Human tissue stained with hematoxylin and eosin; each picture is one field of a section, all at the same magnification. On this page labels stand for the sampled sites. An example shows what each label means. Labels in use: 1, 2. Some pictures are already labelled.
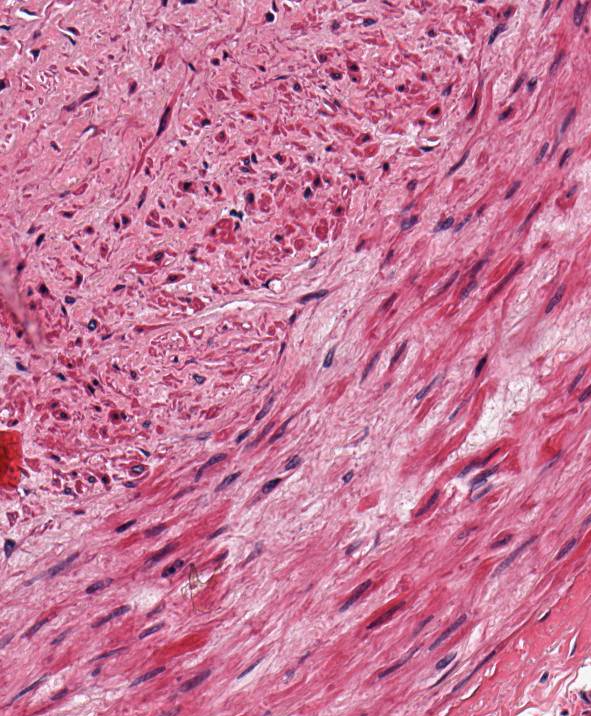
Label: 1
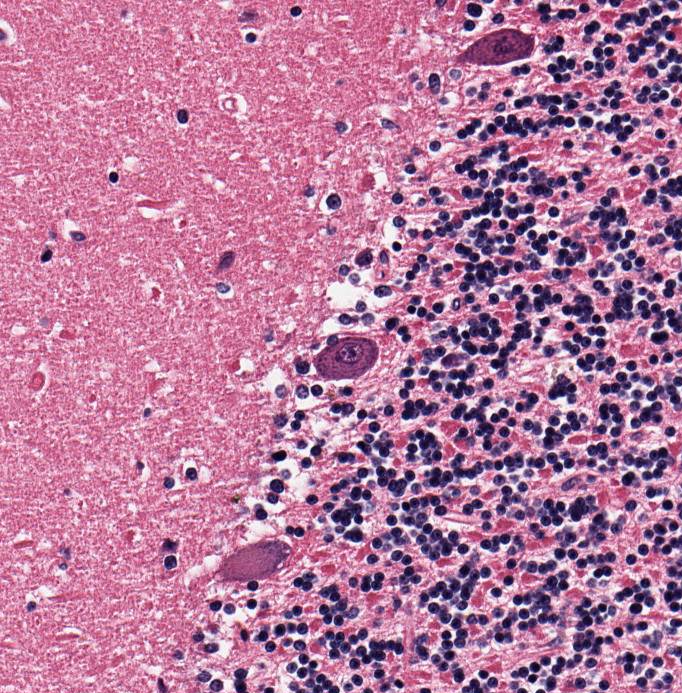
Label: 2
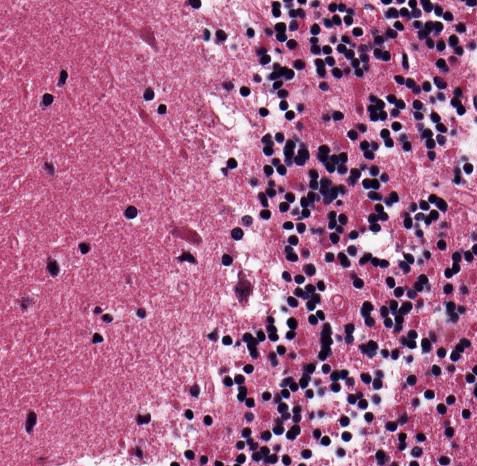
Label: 2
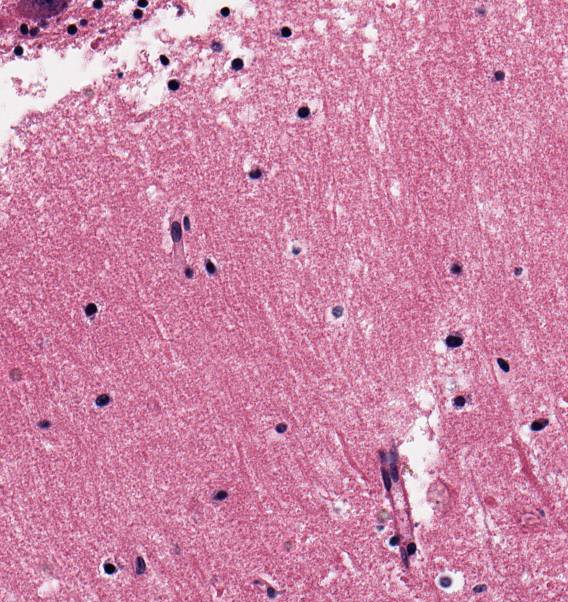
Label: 2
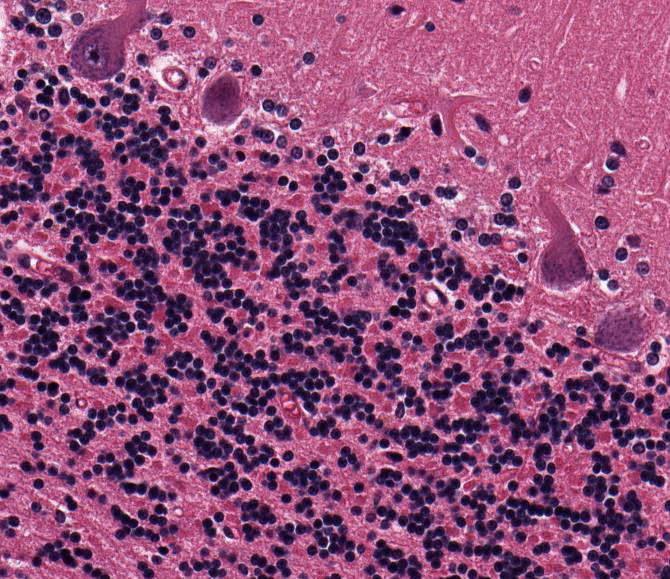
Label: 2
